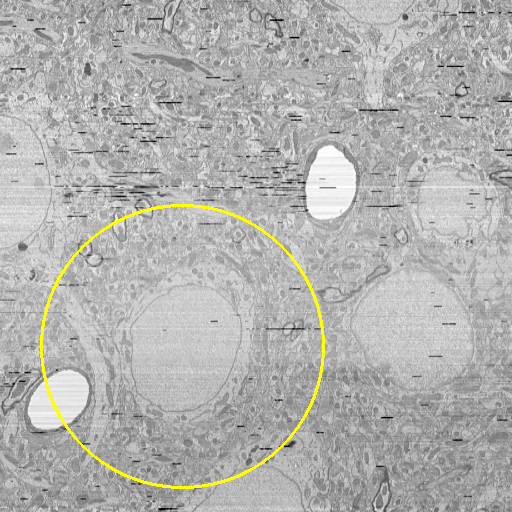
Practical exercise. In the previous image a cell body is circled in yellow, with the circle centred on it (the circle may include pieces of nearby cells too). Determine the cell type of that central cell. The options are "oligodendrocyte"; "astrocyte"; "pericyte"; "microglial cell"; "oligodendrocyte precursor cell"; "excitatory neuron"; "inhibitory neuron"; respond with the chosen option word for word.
excitatory neuron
